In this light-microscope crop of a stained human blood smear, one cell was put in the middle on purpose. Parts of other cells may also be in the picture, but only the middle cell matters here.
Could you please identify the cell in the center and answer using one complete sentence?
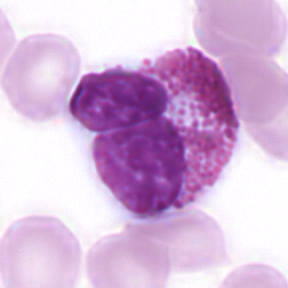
Classification of the middle cell gives an eosinophil.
